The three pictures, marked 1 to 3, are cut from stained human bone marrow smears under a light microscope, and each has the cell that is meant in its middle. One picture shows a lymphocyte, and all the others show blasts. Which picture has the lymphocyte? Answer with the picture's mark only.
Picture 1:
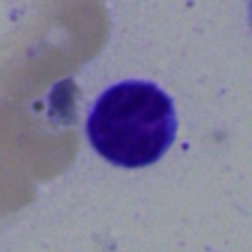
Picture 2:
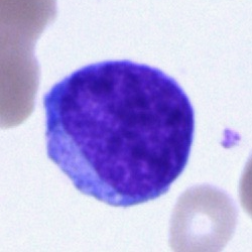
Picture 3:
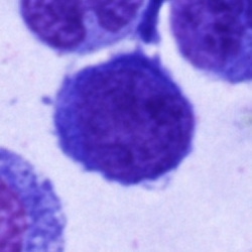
1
